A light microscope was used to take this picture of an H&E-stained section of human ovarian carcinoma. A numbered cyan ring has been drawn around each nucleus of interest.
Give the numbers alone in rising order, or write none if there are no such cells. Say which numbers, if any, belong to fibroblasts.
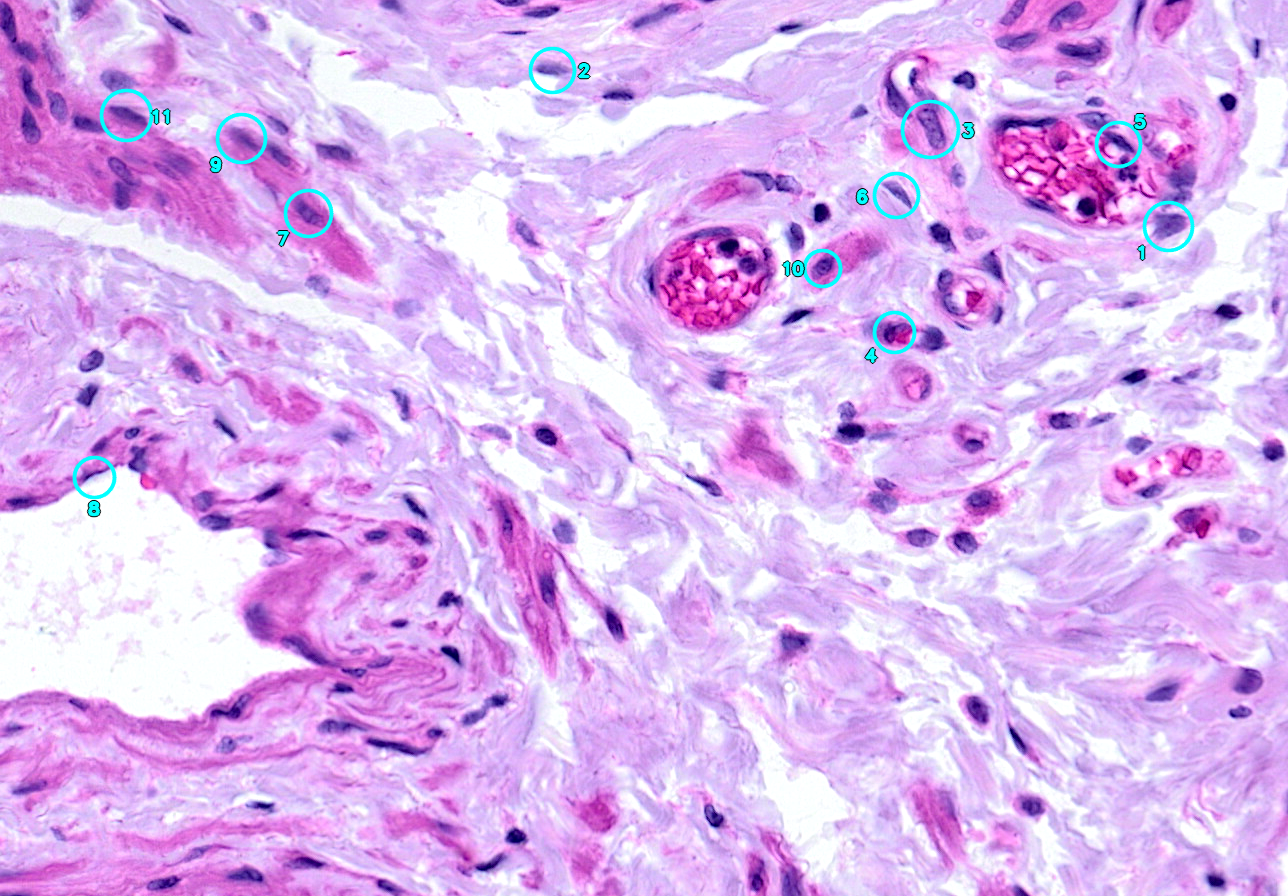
1, 2, 6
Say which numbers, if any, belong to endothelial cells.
3, 4, 5, 8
